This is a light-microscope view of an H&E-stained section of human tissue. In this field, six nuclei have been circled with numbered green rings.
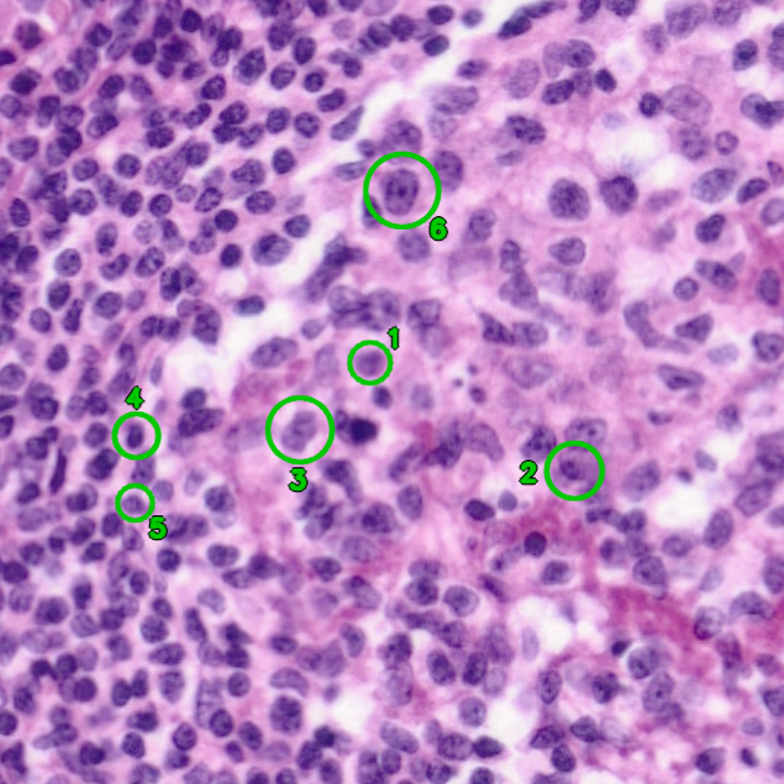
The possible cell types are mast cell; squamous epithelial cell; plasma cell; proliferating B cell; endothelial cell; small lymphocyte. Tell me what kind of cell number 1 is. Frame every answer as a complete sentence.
The cell marked with number 1 is a proliferating B cell.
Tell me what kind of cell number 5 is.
The cell marked with number 5 is a small lymphocyte.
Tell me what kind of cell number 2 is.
The nucleus marked 2 is the nucleus of a proliferating B cell.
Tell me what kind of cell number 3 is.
At number 3, the marked cell is a proliferating B cell.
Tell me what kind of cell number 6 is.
The one numbered 6 among the marked cells is a proliferating B cell.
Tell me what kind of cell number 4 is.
The numbered cell 4 in this field is a small lymphocyte.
